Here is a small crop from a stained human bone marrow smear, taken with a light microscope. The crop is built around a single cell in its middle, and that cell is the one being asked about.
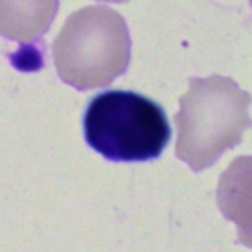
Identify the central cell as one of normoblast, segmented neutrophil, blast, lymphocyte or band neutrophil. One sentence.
What the crop centres on is a lymphocyte.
